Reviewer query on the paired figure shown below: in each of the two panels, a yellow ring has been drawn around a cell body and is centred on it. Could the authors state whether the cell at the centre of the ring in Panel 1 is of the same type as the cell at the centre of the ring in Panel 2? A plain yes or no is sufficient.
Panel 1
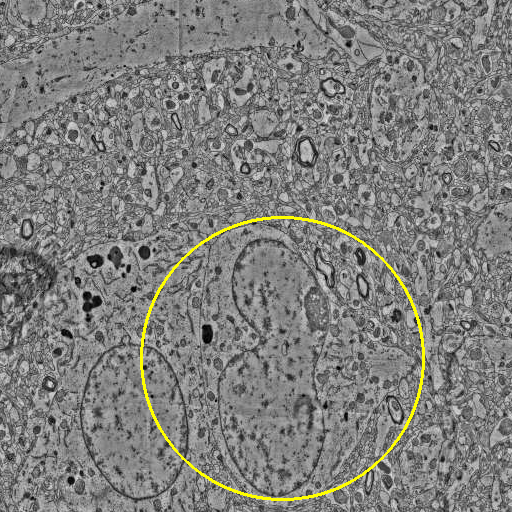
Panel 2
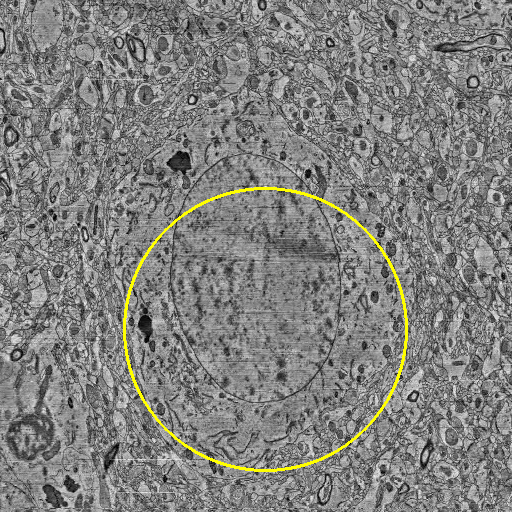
yes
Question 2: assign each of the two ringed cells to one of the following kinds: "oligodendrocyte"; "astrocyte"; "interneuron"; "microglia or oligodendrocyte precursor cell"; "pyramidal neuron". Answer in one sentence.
Each cell at the centre of a ring is a pyramidal neuron.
